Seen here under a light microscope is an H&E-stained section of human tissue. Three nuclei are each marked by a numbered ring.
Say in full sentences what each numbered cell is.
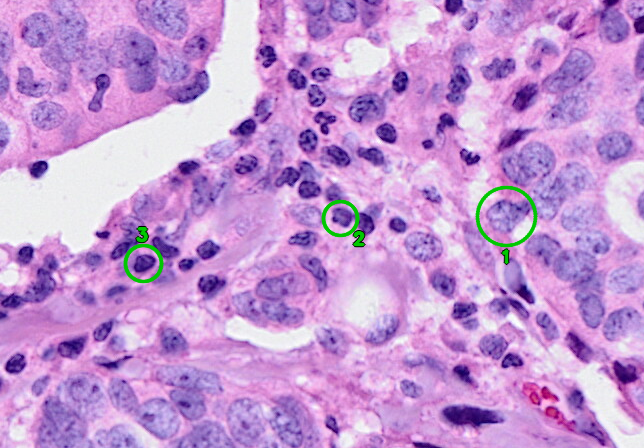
Cell 1 is a carcinoma cell, cell 2 is a lymphocyte and cell 3 is a lymphocyte.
